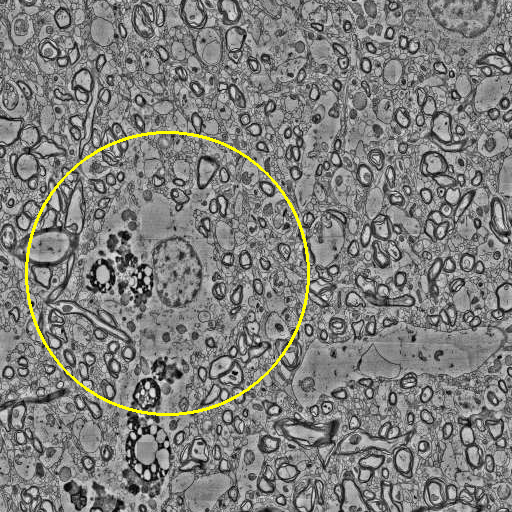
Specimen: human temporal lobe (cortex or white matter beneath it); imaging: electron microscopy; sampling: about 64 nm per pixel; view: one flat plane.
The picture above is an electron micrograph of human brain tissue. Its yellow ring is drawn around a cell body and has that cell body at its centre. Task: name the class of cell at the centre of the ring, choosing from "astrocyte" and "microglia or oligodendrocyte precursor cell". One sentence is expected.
The ring surrounds the body of an astrocyte.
